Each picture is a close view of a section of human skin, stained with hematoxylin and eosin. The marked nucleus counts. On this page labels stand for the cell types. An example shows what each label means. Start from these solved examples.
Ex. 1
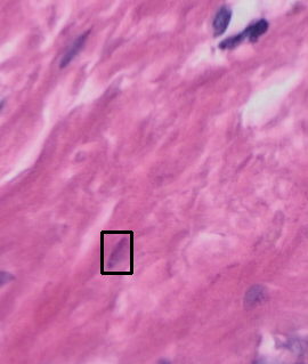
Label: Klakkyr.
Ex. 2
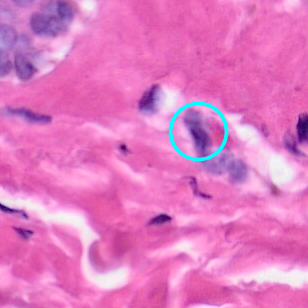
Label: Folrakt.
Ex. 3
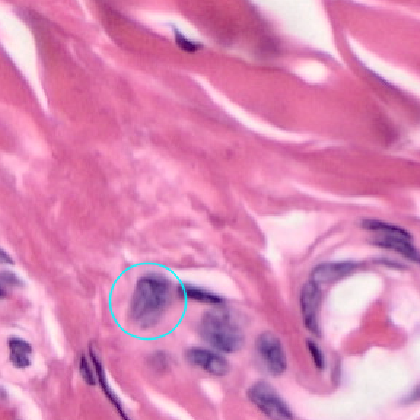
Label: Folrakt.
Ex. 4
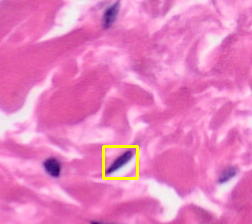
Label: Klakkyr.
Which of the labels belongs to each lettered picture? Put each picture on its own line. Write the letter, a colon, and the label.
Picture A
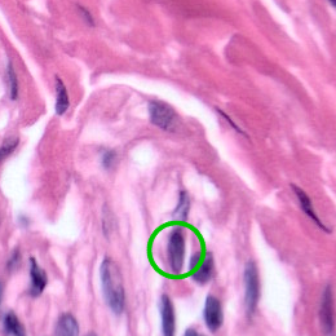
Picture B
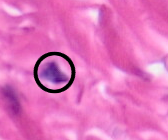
A: Folrakt.
B: Klakkyr.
